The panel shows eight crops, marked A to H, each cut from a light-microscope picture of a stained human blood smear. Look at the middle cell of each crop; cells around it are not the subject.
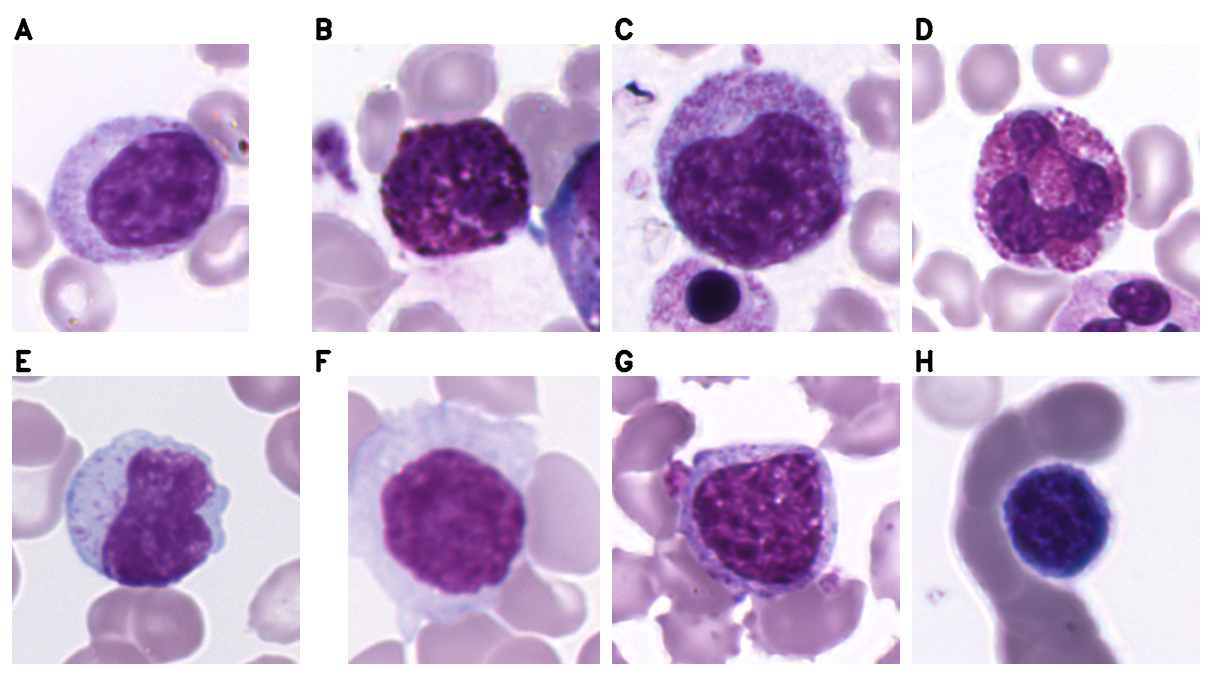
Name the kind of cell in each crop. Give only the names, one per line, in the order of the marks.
myelocyte
basophil
promyelocyte
eosinophil
large granular lymphocyte
hairy cell
myelocyte
plasma cell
